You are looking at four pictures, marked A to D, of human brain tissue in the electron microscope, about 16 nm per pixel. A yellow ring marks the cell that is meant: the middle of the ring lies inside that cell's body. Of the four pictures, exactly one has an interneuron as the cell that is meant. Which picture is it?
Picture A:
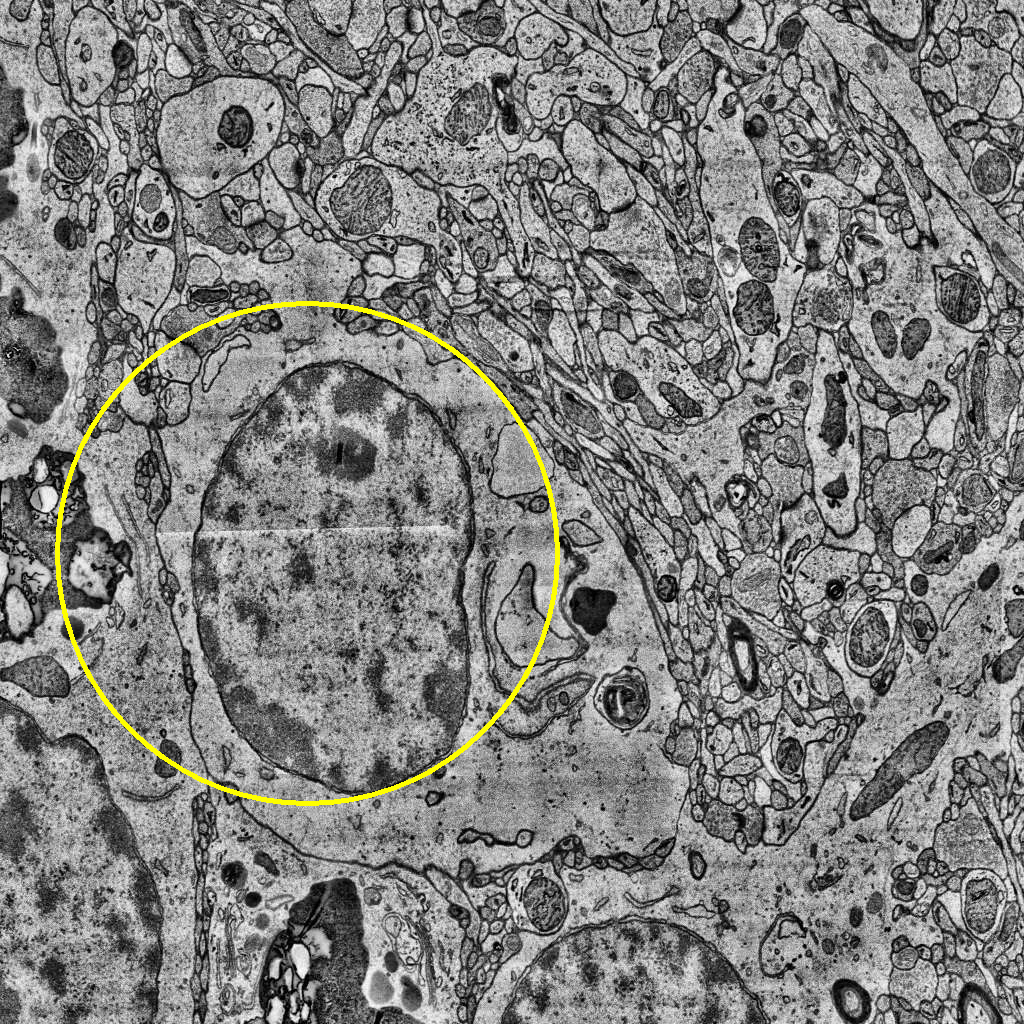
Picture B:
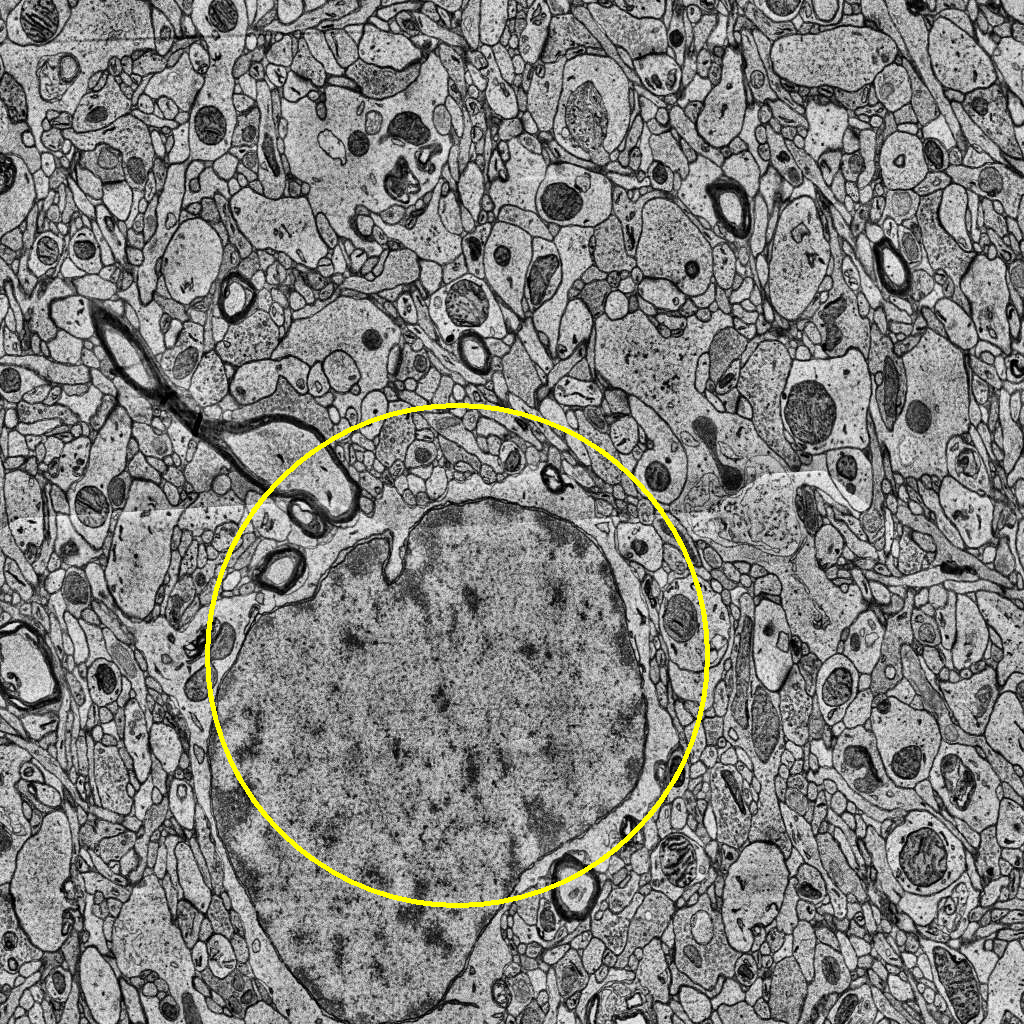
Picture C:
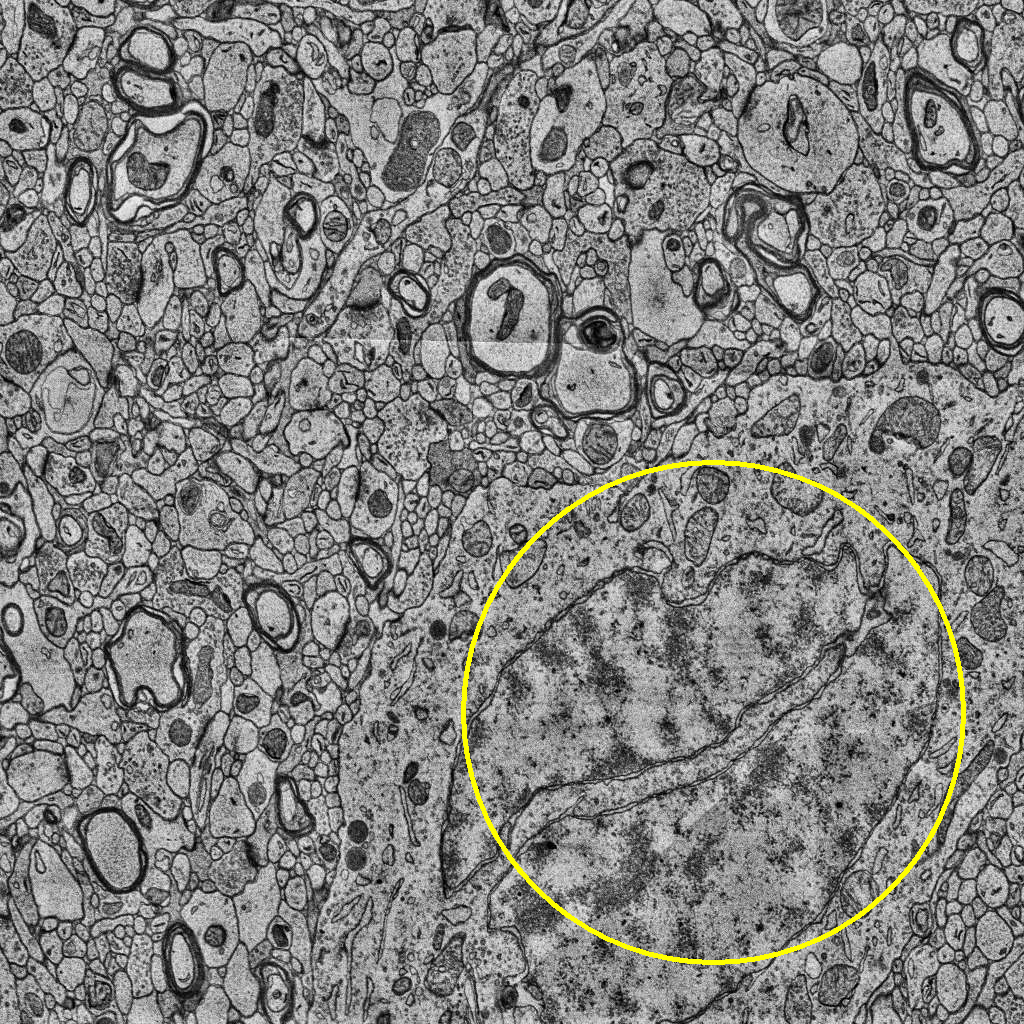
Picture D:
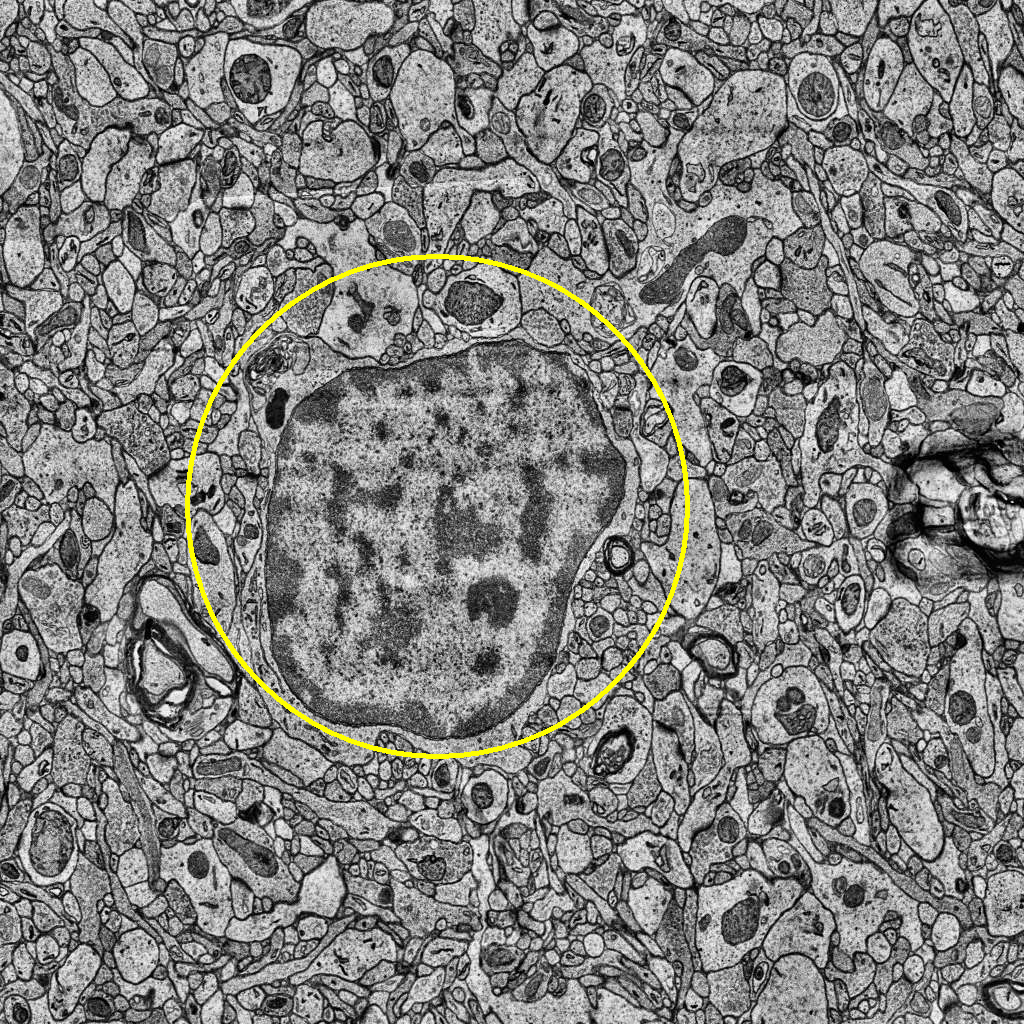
It is picture C that shows the interneuron.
